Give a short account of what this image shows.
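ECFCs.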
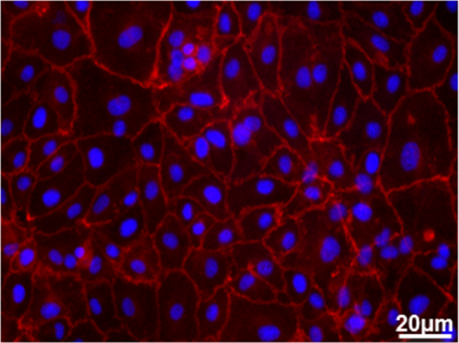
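Cultured cells form a closely packed monolayer of polygonal cells. A thin red line runs continuously along the borders where neighbouring cells meet, outlining each cell like a mesh.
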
